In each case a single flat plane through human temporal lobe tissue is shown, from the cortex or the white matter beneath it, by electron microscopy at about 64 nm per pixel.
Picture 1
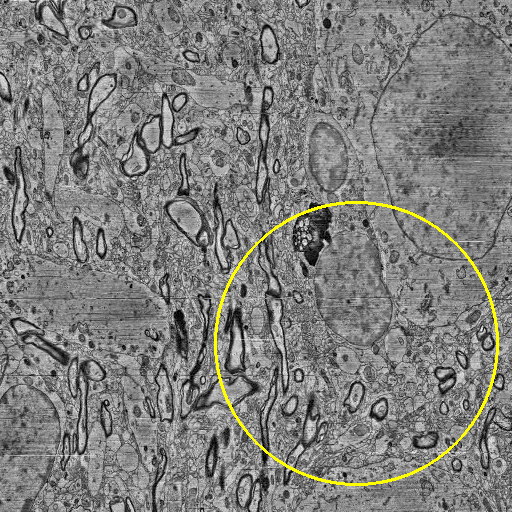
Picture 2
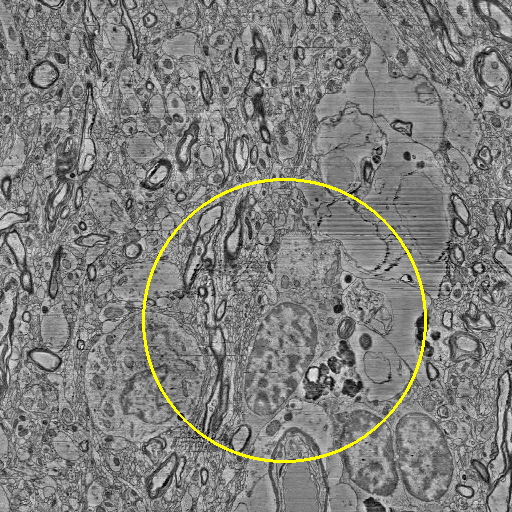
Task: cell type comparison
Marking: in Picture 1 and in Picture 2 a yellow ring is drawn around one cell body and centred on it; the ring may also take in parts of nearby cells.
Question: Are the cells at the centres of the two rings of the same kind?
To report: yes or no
yes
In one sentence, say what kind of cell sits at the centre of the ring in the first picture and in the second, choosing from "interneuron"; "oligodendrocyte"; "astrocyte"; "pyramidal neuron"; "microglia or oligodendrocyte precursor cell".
Each of the two cells is an oligodendrocyte.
